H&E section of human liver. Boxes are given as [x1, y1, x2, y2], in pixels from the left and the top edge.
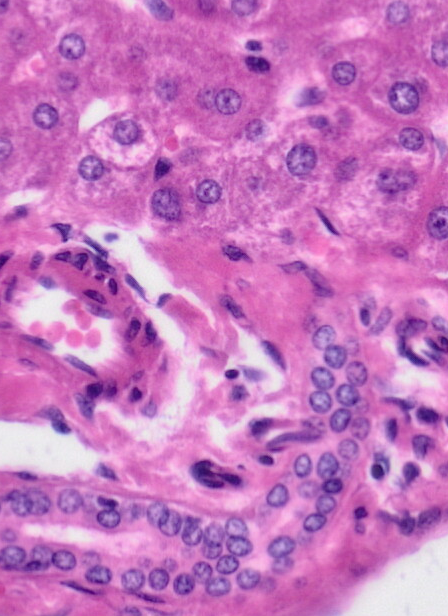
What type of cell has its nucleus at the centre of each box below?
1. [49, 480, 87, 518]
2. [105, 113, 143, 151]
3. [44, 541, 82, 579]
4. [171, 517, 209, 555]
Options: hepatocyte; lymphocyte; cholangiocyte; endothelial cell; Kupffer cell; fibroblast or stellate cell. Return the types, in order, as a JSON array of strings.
["cholangiocyte", "hepatocyte", "cholangiocyte", "cholangiocyte"]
